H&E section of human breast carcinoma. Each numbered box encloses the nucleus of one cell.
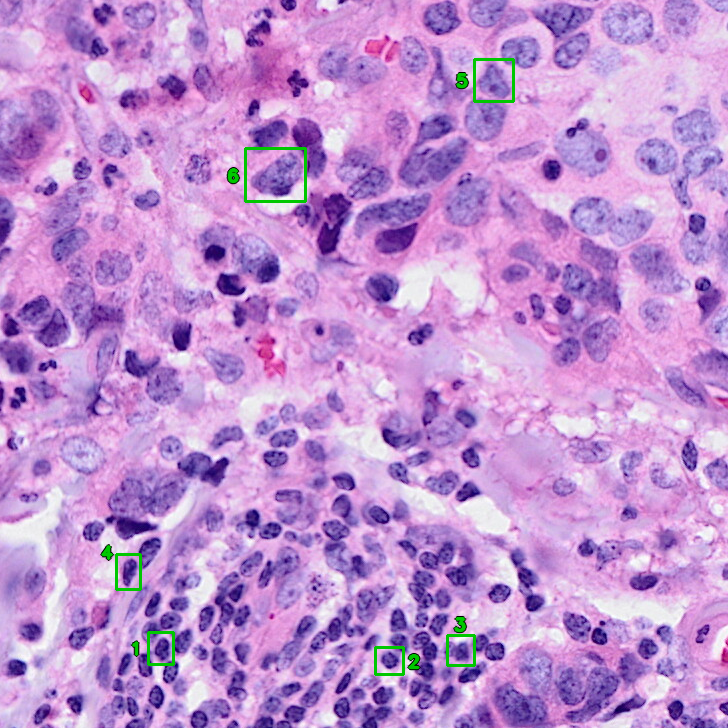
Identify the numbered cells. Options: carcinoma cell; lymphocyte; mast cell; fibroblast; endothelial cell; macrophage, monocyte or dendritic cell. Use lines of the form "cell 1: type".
cell 1: lymphocyte
cell 2: lymphocyte
cell 3: lymphocyte
cell 4: lymphocyte
cell 5: carcinoma cell
cell 6: carcinoma cell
